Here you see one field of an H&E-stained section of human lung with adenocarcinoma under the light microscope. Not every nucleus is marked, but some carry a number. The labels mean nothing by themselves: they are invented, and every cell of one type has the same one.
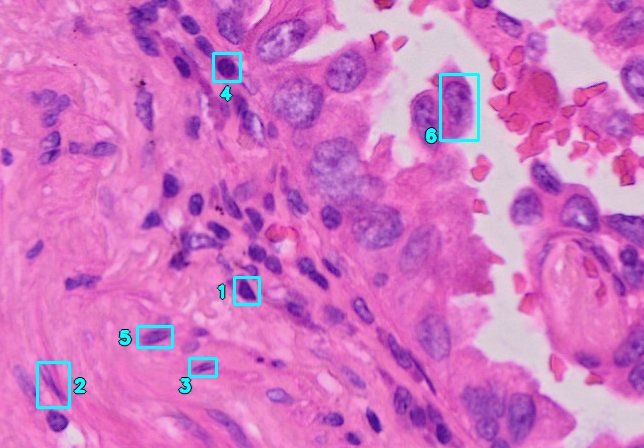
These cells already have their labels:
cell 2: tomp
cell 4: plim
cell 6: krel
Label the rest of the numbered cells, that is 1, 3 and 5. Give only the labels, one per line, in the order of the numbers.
plim
tomp
tomp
